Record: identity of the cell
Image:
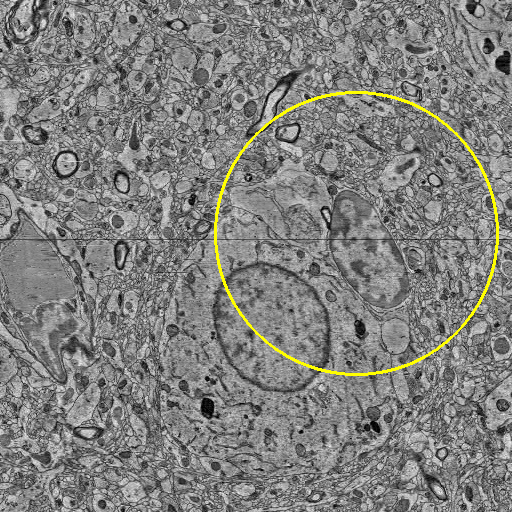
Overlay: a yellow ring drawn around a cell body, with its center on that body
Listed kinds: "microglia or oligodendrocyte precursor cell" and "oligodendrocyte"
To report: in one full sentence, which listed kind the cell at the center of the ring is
In the image, the cell body at the ring's center belongs to a microglial cell or oligodendrocyte precursor cell.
